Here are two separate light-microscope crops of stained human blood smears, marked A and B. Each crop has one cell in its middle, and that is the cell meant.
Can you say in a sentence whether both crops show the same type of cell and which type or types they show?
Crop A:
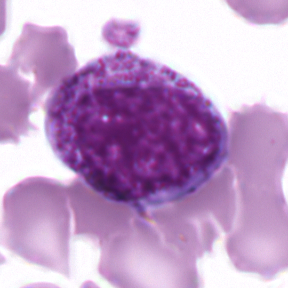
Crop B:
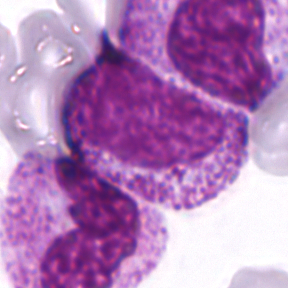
Yes, the middle cells in the two crops are myelocytes.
